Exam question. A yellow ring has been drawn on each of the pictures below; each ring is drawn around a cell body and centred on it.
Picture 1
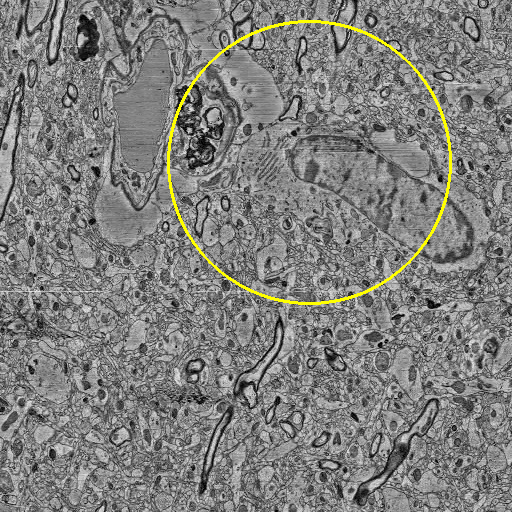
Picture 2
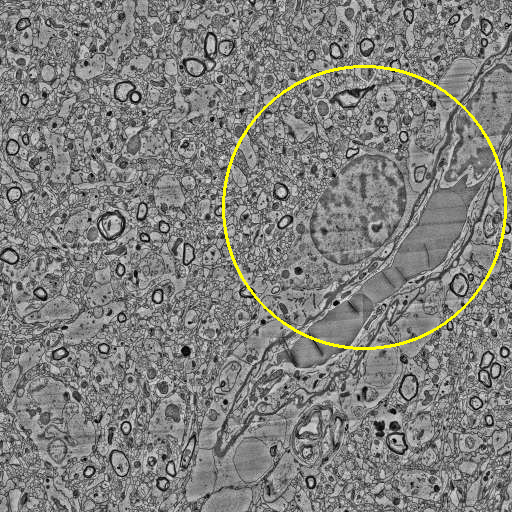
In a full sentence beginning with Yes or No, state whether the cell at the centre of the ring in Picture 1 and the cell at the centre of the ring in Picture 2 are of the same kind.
No, the cells are of two kinds.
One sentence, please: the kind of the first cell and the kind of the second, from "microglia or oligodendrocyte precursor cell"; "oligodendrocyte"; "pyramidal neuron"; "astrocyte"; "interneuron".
The ring in the first picture surrounds a microglial cell or oligodendrocyte precursor cell, and the ring in the second surrounds an oligodendrocyte.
